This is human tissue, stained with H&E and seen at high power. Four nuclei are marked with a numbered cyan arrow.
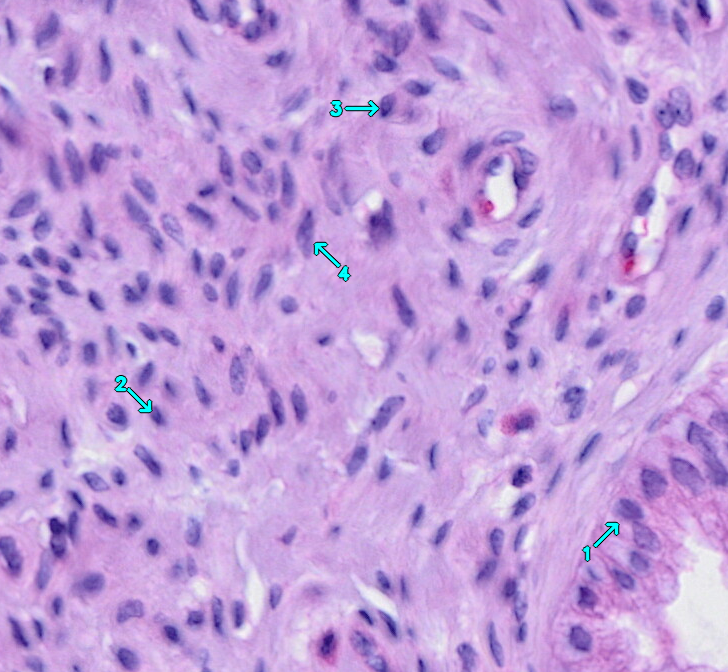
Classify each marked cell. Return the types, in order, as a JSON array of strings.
["secretory epithelial cell", "fibroblast", "fibroblast", "fibroblast"]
